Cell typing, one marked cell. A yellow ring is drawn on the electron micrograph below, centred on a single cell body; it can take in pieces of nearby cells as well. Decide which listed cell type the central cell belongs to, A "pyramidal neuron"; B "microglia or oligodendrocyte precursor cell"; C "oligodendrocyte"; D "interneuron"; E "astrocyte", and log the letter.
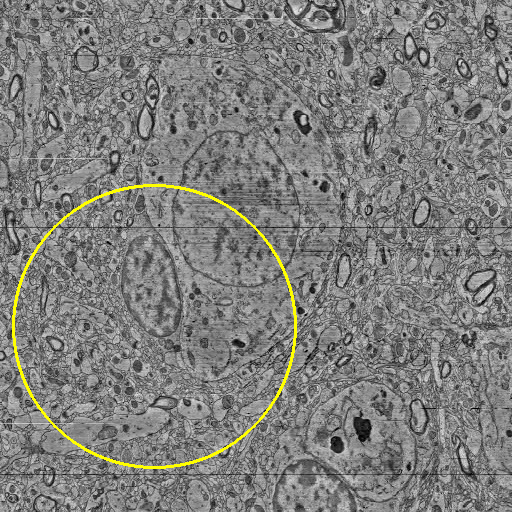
C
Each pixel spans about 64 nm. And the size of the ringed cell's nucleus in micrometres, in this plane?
Approximately 7 by 4 micrometers, which makes the nucleus clearly longer than it is wide in this plane.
